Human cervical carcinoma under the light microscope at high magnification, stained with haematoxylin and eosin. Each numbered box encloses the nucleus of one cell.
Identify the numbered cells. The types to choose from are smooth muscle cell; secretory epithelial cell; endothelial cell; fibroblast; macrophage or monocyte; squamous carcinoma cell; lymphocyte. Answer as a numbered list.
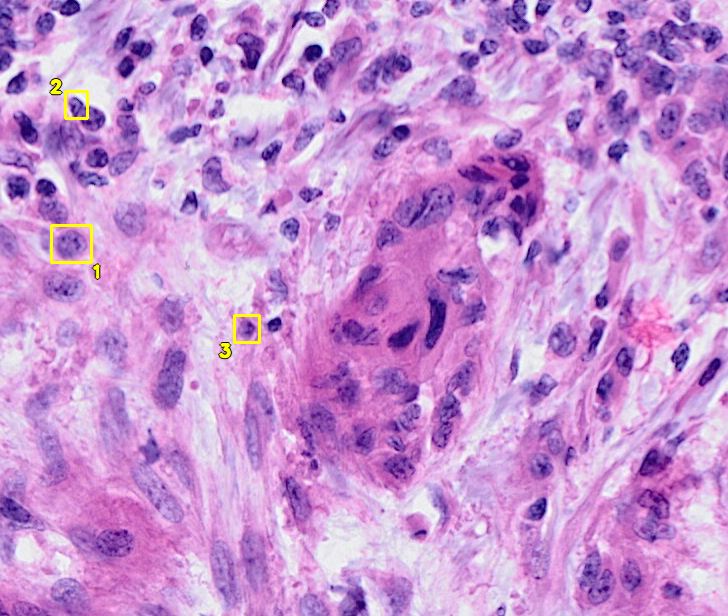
1. macrophage or monocyte
2. lymphocyte
3. macrophage or monocyte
